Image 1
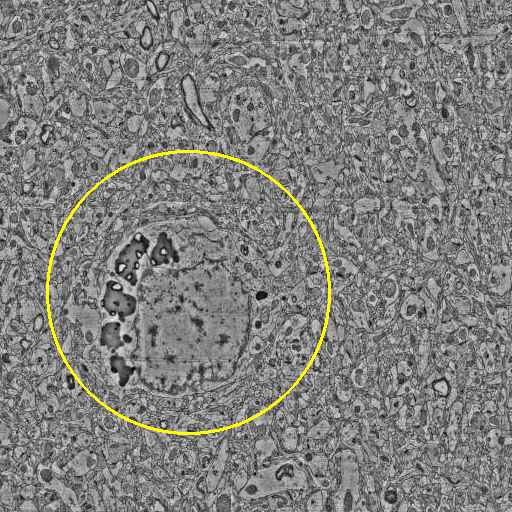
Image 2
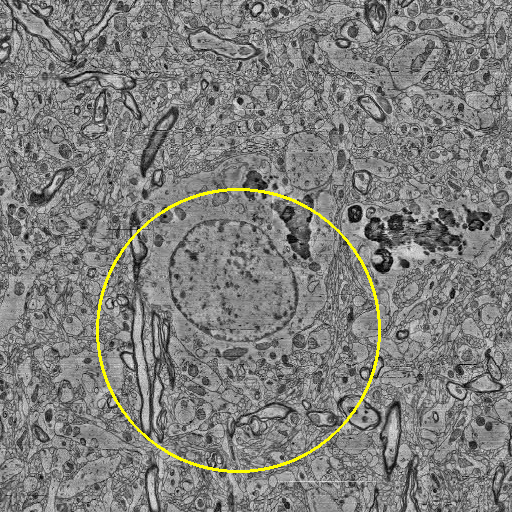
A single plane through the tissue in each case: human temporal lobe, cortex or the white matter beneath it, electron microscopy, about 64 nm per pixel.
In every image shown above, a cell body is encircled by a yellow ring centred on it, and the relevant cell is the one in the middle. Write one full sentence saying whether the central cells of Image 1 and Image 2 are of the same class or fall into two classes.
The cell at the ring's centre in Image 1 and its counterpart in Image 2 fall into two classes.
